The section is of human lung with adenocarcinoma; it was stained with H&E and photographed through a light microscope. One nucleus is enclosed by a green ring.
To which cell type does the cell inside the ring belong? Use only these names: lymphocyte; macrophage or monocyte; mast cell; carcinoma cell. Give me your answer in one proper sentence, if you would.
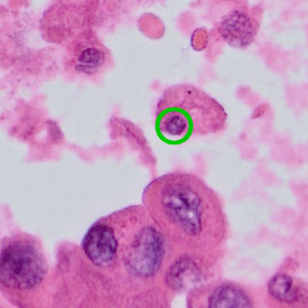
With respect to cell type, the cell inside the ring is a macrophage or monocyte.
